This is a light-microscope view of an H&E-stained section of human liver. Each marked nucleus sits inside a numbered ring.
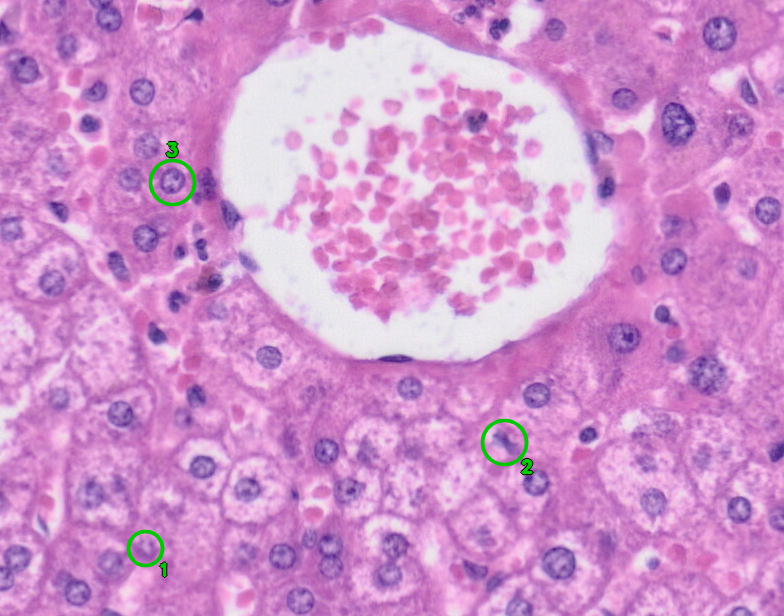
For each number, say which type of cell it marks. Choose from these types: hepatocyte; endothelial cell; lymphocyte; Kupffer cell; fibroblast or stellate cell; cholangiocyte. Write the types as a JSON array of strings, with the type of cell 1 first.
["hepatocyte", "endothelial cell", "hepatocyte"]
